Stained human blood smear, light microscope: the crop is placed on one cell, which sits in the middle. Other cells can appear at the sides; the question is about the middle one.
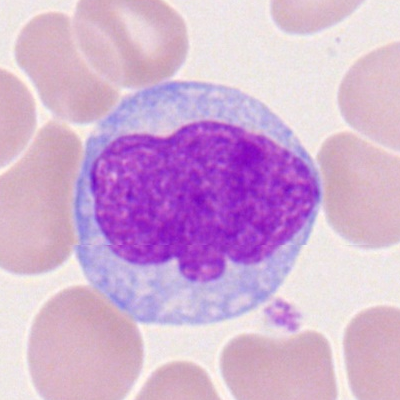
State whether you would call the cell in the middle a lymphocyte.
no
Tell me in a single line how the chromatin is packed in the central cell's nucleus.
The chromatin is fine; coarse clumps are not a feature here.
